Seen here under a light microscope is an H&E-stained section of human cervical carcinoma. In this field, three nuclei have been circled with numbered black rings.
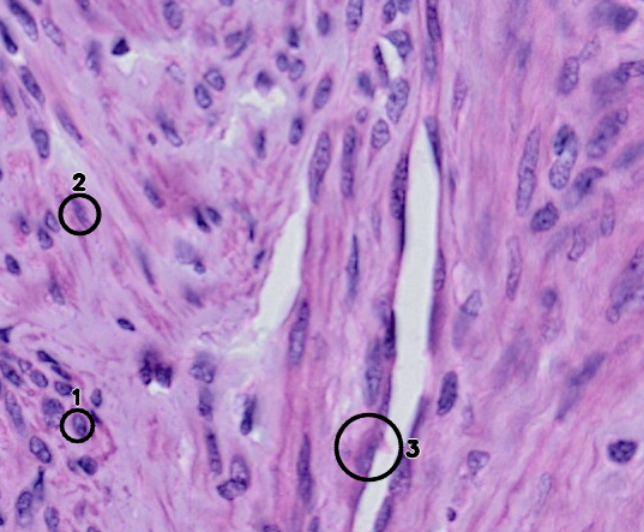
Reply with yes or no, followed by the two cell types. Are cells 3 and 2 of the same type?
No, in contrast to cell 3, which is an endothelial cell, cell 2 is a smooth muscle cell.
